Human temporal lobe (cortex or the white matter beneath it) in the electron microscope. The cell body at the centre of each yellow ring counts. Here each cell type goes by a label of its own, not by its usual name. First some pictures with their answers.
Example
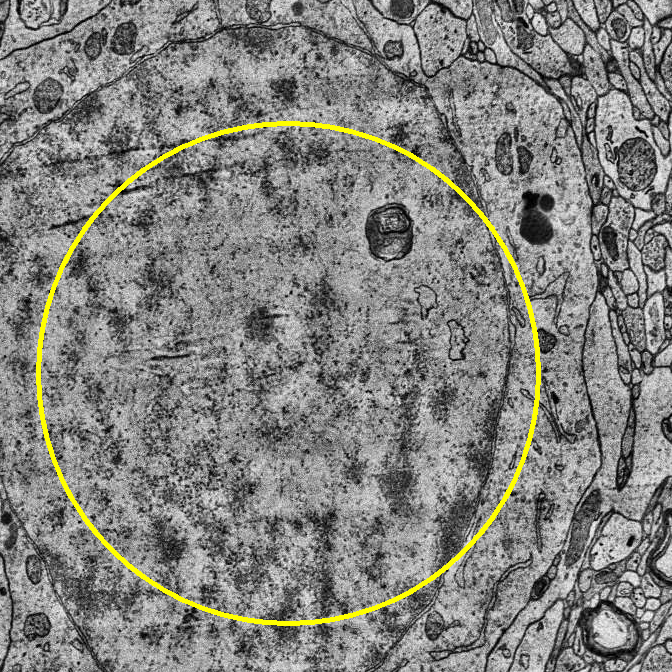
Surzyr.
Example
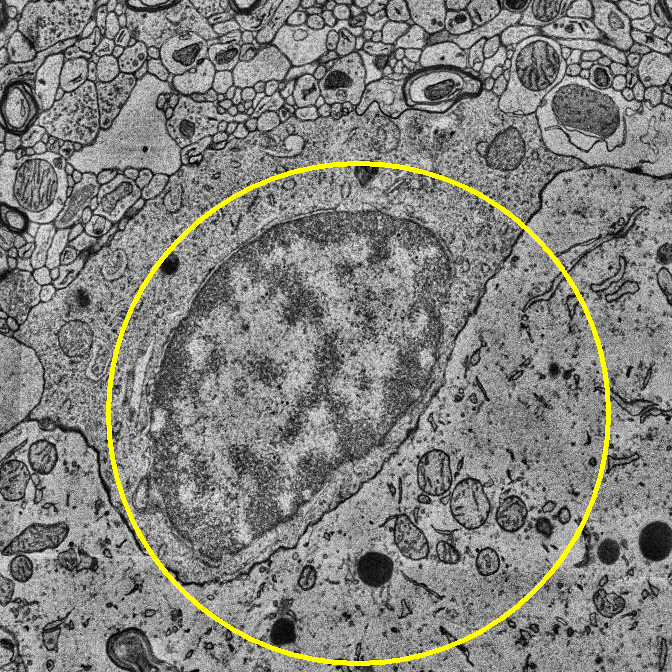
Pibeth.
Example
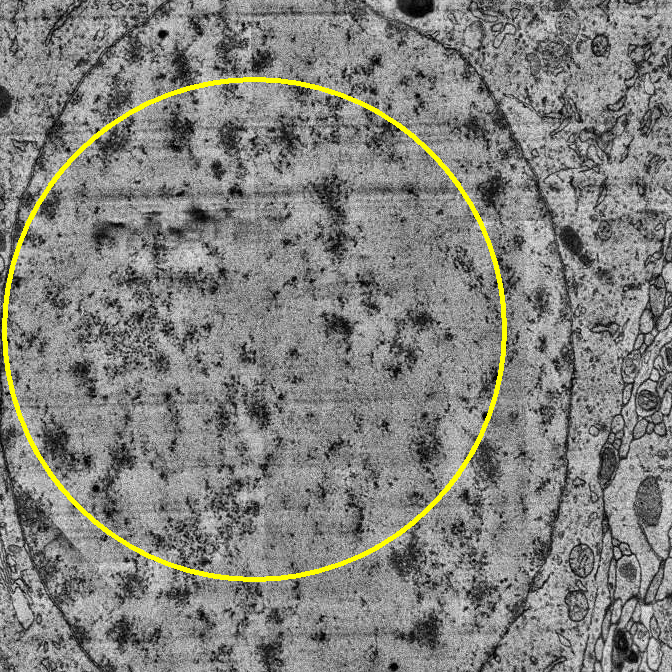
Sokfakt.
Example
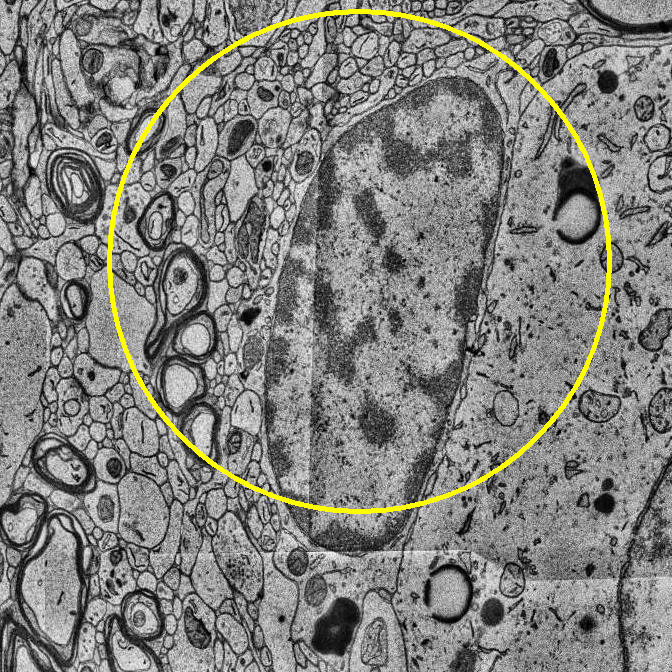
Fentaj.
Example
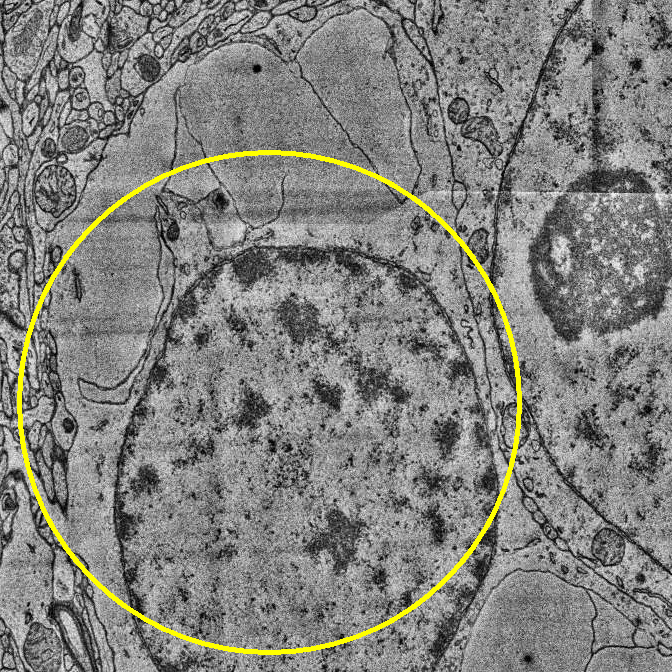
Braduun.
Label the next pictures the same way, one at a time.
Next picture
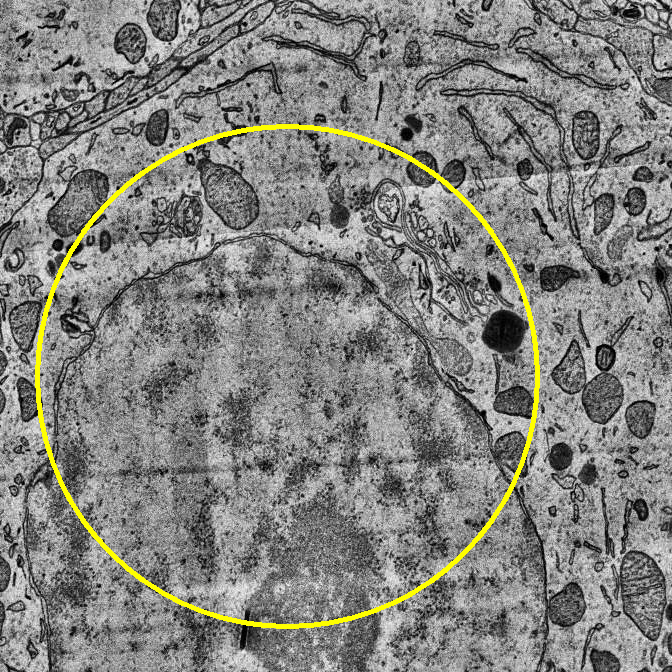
Surzyr.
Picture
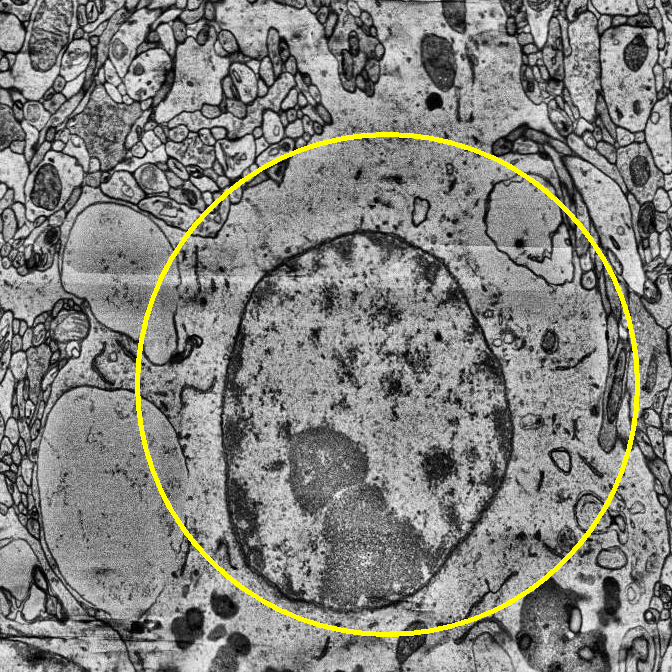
Braduun.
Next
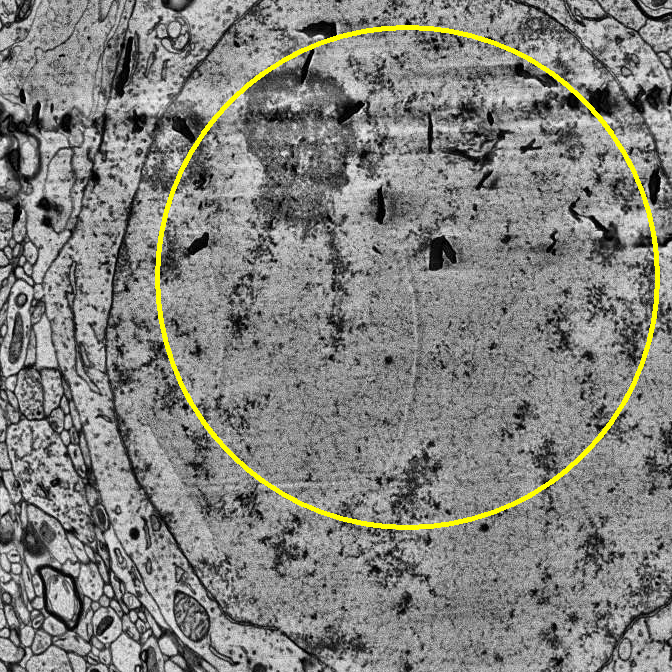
Sokfakt.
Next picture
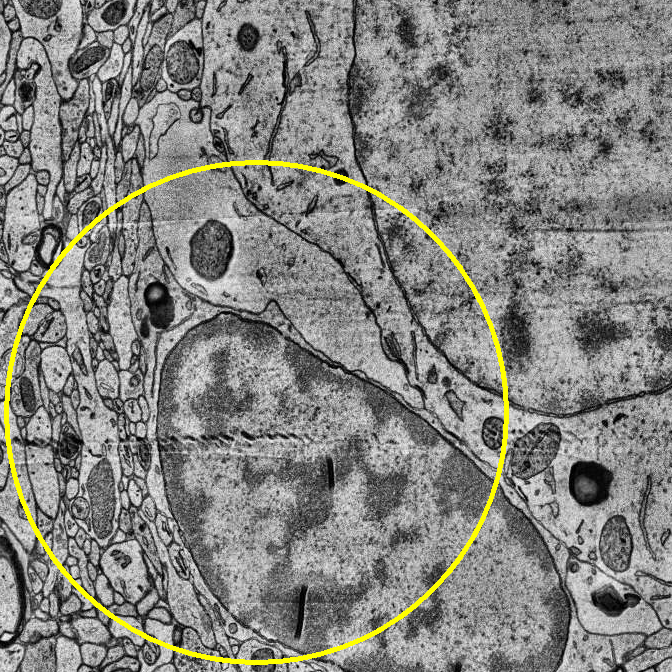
Fentaj.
